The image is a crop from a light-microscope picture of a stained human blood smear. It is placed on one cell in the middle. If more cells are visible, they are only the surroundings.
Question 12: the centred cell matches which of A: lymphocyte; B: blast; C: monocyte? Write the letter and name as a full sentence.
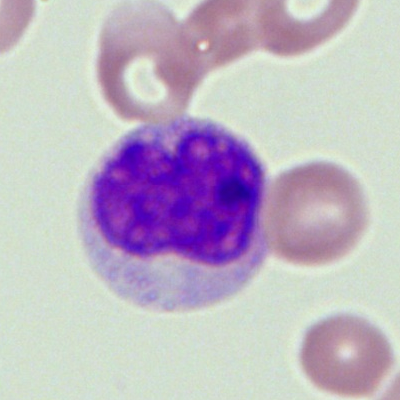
The one cell at the centre is a monocyte, as correctly stated in option C.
